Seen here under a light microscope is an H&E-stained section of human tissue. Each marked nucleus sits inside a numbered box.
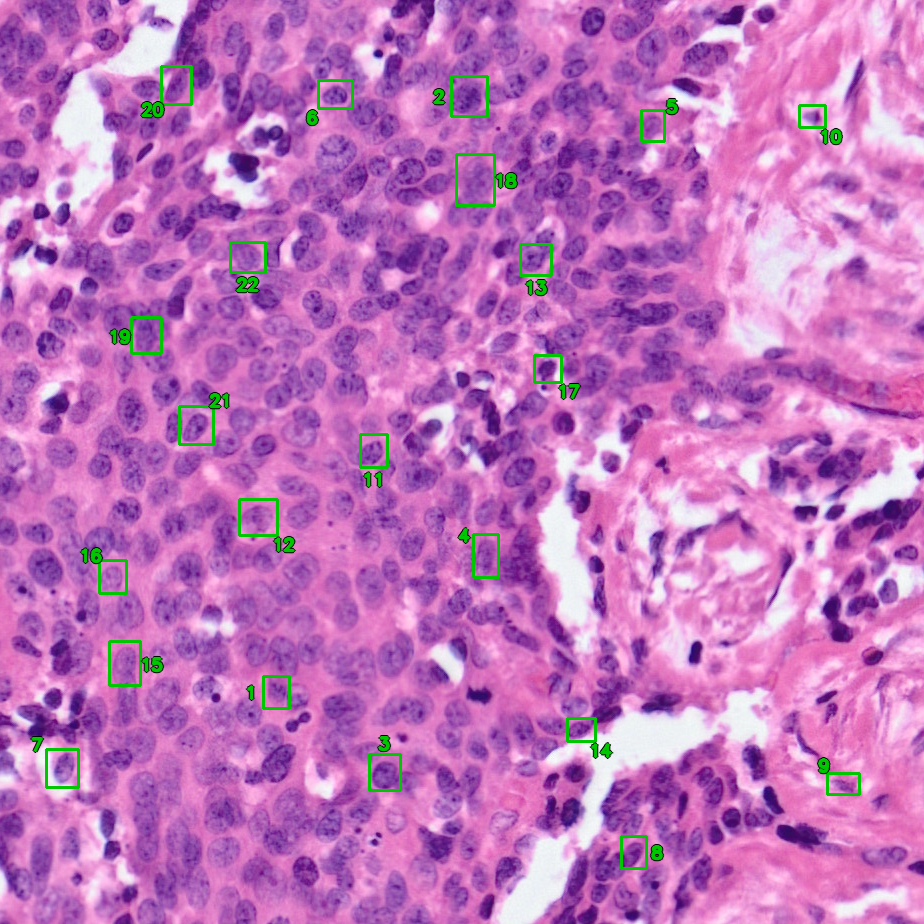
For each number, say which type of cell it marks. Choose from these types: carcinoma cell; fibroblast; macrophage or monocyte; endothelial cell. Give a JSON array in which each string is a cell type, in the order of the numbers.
["endothelial cell", "carcinoma cell", "carcinoma cell", "carcinoma cell", "carcinoma cell", "macrophage or monocyte", "macrophage or monocyte", "macrophage or monocyte", "fibroblast", "fibroblast", "macrophage or monocyte", "carcinoma cell", "macrophage or monocyte", "carcinoma cell", "endothelial cell", "carcinoma cell", "carcinoma cell", "carcinoma cell", "carcinoma cell", "carcinoma cell", "macrophage or monocyte", "carcinoma cell"]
